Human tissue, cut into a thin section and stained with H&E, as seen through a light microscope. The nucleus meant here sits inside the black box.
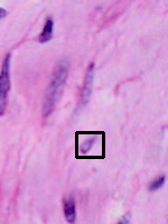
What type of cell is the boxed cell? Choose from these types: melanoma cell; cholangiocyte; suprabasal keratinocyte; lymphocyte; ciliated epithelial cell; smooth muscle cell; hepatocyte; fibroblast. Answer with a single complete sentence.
For the purposes of cell typing, the boxed cell is categorized as a fibroblast.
